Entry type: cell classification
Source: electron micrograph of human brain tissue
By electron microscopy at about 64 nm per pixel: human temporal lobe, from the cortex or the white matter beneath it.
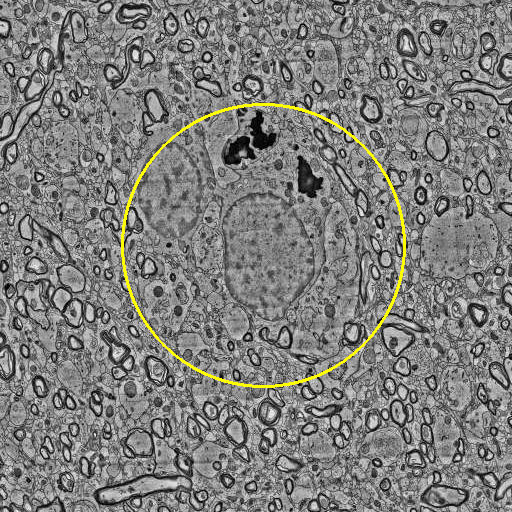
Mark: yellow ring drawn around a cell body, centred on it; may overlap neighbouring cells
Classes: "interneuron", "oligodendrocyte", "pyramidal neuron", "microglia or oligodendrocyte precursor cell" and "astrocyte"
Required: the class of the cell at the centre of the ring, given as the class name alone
oligodendrocyte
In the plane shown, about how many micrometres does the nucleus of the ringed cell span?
The ringed cell's nucleus is about 8 micrometres long and 6 micrometres wide in this plane.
